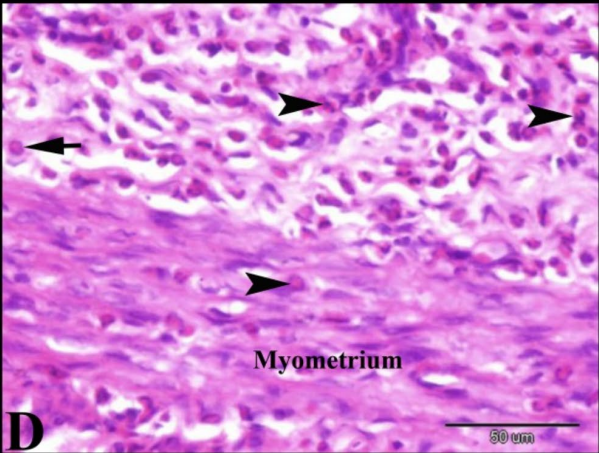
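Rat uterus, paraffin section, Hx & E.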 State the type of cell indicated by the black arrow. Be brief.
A: Neutrophils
